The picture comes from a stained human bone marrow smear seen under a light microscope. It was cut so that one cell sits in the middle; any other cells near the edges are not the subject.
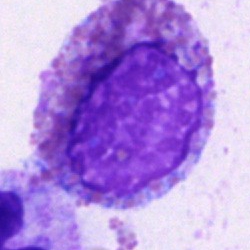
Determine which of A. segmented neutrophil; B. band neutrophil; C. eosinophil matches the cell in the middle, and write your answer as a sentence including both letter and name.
Identified correctly by option C, the cell in the middle is an eosinophil.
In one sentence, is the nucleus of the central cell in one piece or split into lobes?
There is one compact nucleus, and its shape is round, oval or kidney-like.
